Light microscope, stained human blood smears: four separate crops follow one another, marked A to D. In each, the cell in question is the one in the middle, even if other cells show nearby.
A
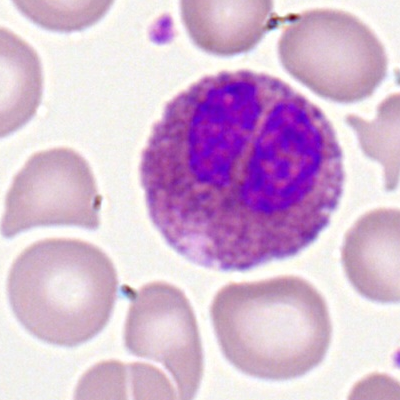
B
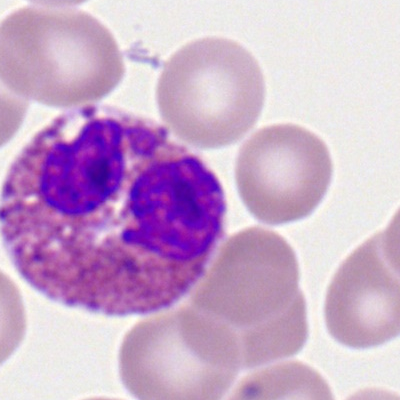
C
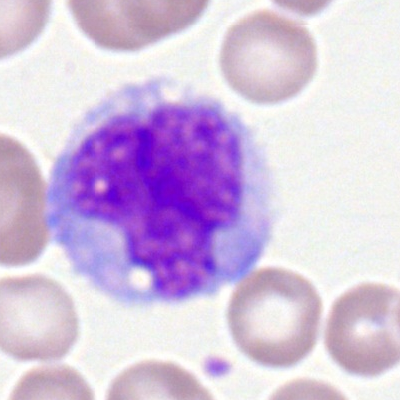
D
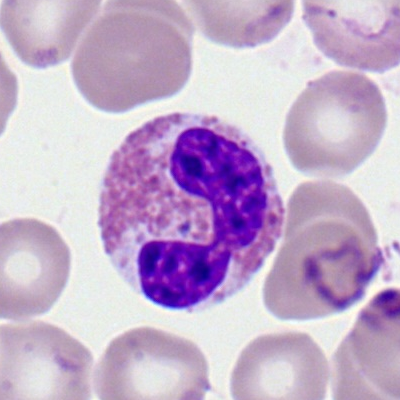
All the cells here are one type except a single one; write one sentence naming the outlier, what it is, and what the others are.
The cells centred in the other crops are all eosinophils, but crop C is a monocyte.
